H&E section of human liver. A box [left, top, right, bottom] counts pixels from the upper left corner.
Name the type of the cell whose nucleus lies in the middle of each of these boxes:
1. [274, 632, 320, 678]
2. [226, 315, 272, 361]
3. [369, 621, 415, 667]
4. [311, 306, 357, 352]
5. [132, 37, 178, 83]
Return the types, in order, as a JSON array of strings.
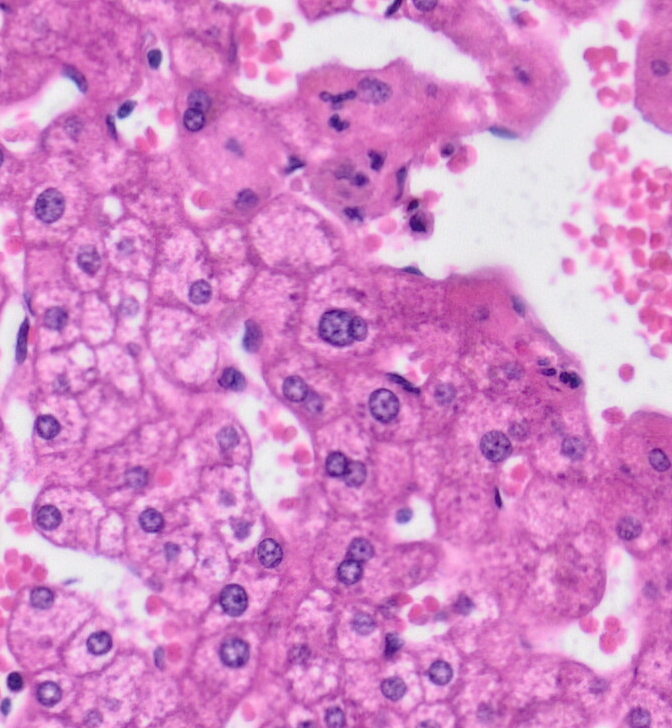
["hepatocyte", "endothelial cell", "fibroblast or stellate cell", "hepatocyte", "lymphocyte"]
